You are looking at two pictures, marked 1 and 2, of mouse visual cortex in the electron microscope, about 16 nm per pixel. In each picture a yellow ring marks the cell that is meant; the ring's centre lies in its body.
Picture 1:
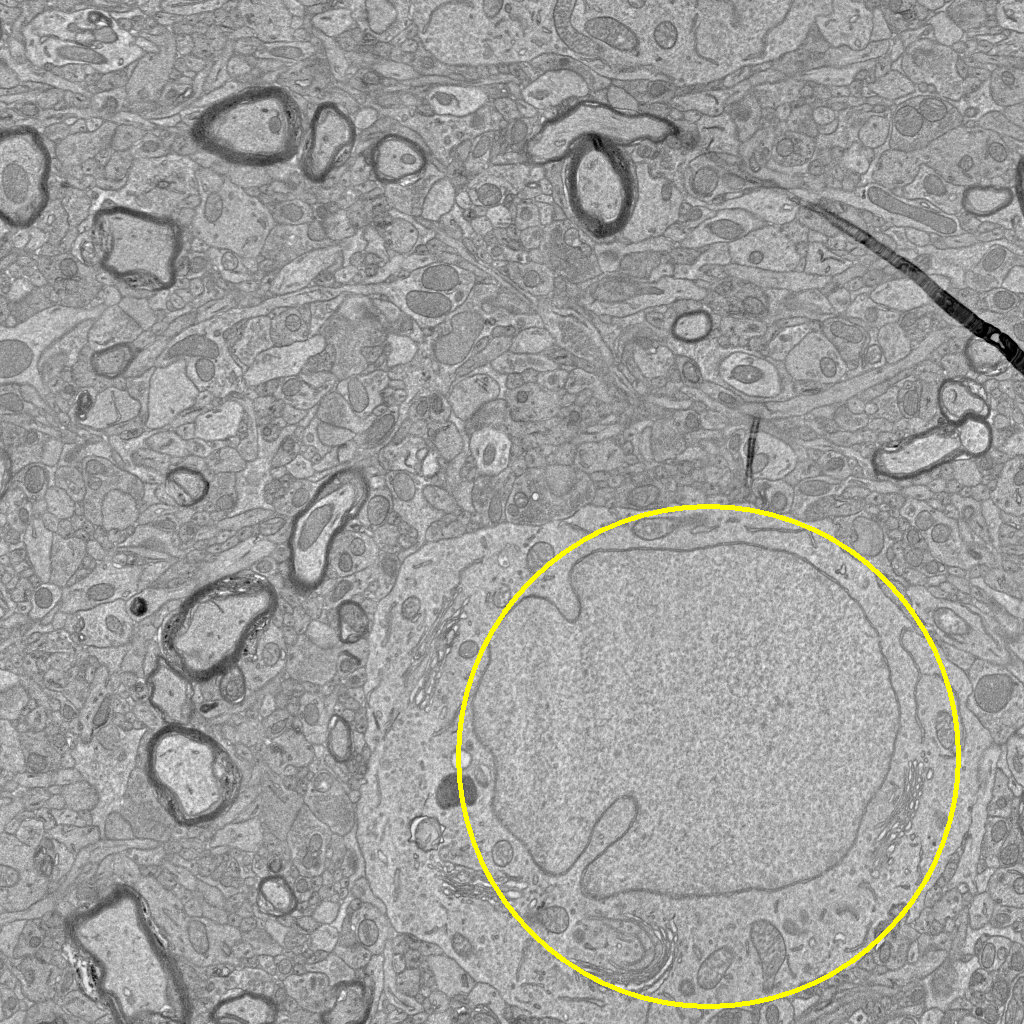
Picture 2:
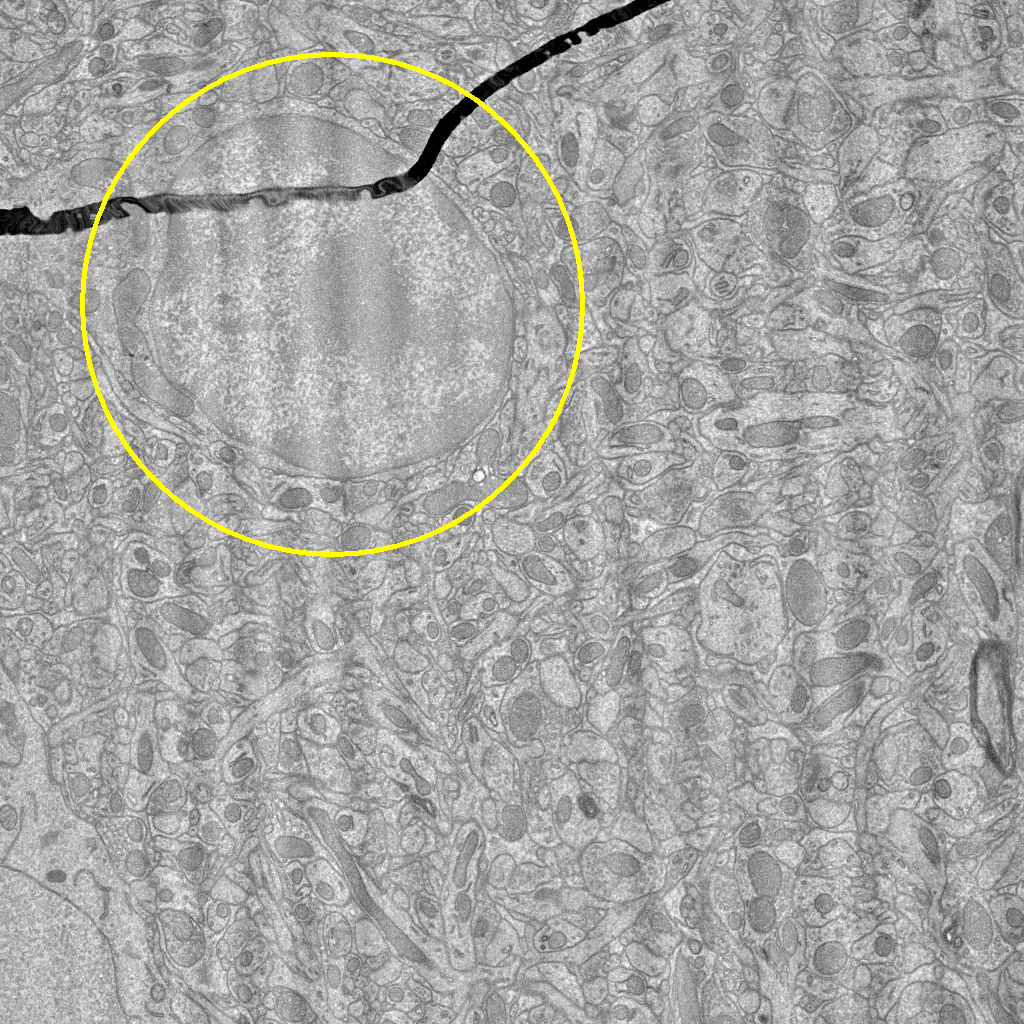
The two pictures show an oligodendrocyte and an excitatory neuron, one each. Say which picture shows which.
Picture 1 is of an excitatory neuron, and picture 2 is of an oligodendrocyte.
